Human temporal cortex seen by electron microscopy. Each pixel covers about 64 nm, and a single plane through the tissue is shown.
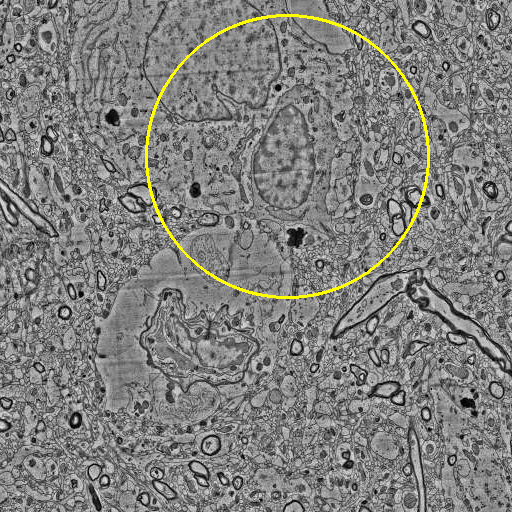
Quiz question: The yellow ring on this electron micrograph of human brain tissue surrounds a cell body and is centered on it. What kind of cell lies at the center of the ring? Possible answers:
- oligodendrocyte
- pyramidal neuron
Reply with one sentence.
The ring's center lies on an oligodendrocyte.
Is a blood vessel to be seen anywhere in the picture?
Yes, a vessel shows somewhere in the image.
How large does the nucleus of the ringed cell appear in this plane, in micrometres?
The ringed cell's nucleus is roughly 7 by 4 micrometres and clearly longer than it is wide in this plane.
